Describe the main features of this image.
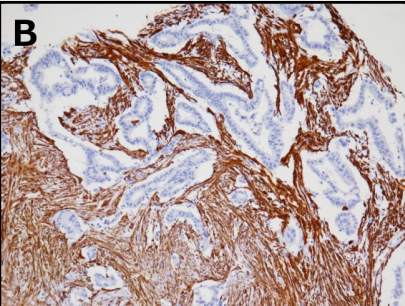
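This low-power field shows irregular glands set in a densely stained stroma. The glands are lined by epithelial cells with blue nuclei and no brown colour, forming branched and angular tubules with open lumens. Around them, the stroma is packed with spindle cells whose cytoplasm is stained intensely brown, running in broad bundles and streams that wrap closely around each gland and fill the spaces between them. The contrast is sharp: blue epithelium, dark brown stroma, with almost none of the stroma left unstained.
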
